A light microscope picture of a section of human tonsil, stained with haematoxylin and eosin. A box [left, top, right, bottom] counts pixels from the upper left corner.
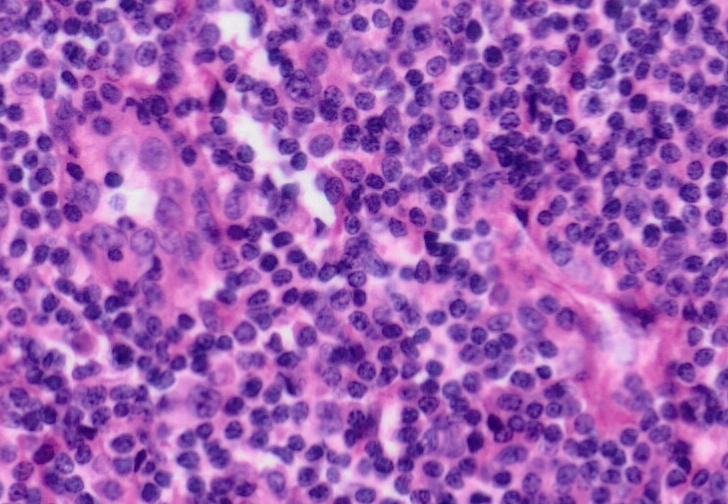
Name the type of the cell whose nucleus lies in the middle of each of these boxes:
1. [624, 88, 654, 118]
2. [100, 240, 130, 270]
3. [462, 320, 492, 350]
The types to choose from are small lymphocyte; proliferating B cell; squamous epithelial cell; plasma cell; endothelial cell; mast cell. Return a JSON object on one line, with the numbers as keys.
{"1": "small lymphocyte", "2": "endothelial cell", "3": "small lymphocyte"}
